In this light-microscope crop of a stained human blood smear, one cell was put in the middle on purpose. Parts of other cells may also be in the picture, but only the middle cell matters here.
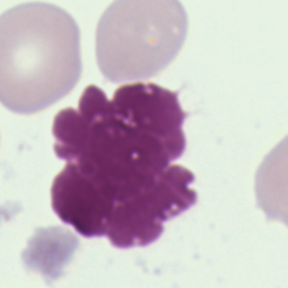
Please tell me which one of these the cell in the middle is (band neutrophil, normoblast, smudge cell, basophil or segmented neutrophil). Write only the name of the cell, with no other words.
smudge cell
